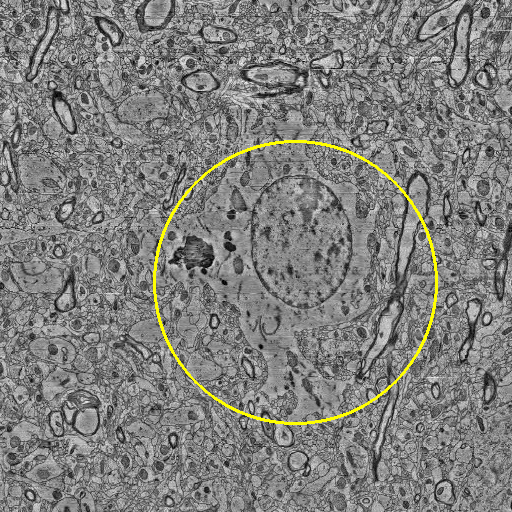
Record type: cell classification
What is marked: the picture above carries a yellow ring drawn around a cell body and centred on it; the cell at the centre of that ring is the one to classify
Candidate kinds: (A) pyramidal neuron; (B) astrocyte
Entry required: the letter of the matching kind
B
